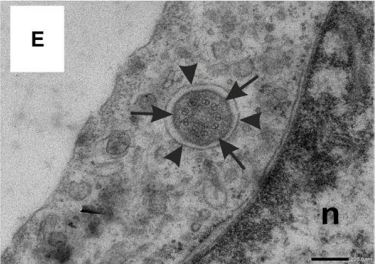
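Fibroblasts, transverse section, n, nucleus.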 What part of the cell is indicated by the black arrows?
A: Axoneme.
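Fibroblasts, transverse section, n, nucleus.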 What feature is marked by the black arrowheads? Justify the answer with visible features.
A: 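Ciliary pocket. The arrowheads point to an outer membrane ring around the round profile. A clear space separates this outer ring from the inner profile.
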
